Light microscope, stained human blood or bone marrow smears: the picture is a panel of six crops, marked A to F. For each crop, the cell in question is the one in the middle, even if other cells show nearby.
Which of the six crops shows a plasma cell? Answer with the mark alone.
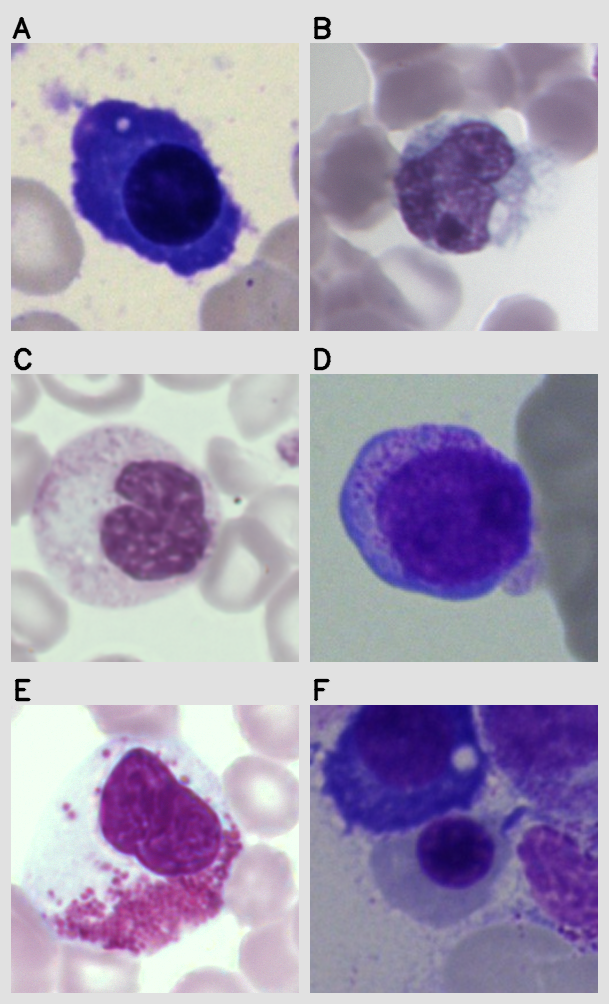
A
